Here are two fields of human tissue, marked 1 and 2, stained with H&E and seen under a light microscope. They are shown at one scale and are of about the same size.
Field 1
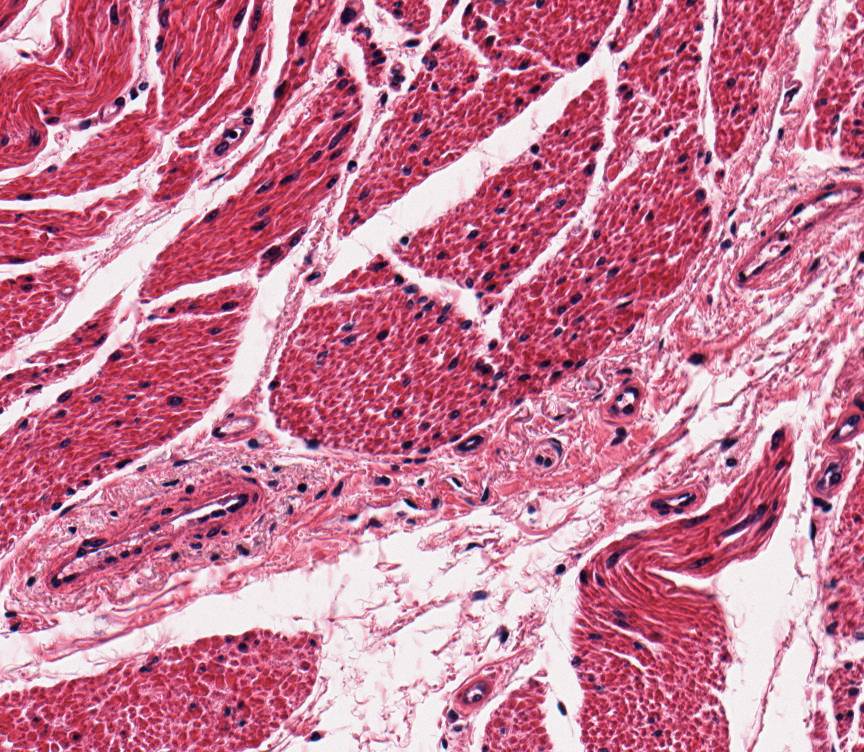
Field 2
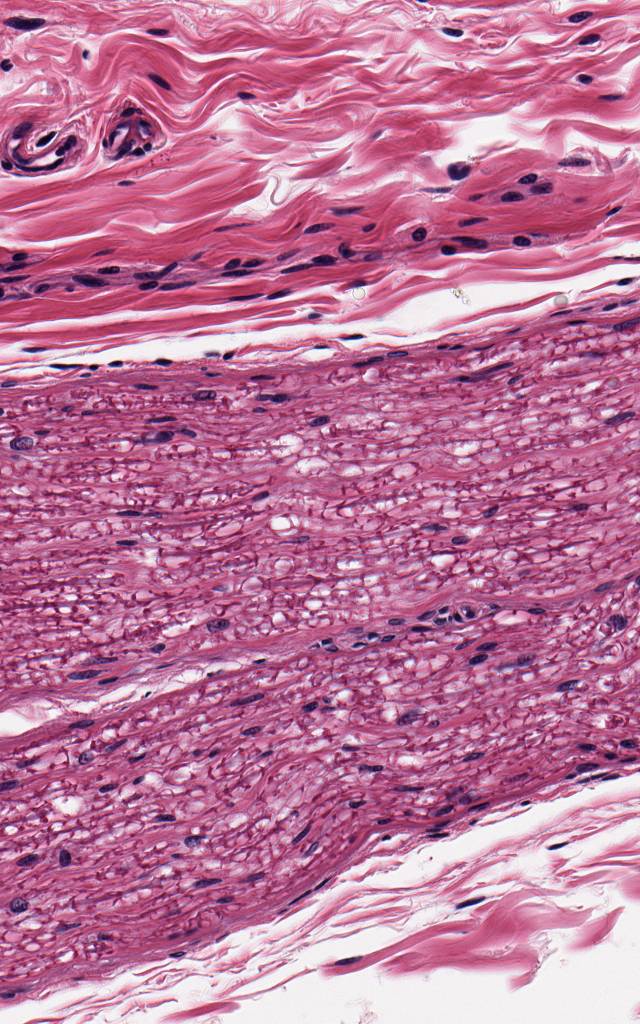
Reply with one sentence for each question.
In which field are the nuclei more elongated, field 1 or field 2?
The nuclei are more elongated in field 2.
